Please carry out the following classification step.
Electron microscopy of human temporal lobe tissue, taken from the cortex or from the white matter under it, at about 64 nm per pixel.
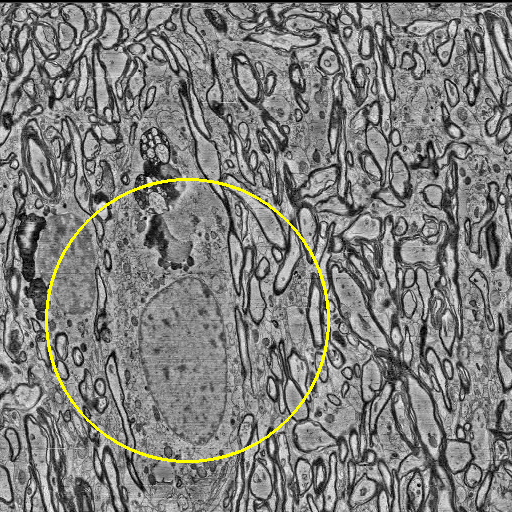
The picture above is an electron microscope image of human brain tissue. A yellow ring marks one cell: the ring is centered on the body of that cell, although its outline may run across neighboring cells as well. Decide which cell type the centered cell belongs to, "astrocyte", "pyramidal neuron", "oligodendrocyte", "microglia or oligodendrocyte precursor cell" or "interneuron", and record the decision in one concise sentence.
The cell centered in the yellow ring is an astrocyte.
